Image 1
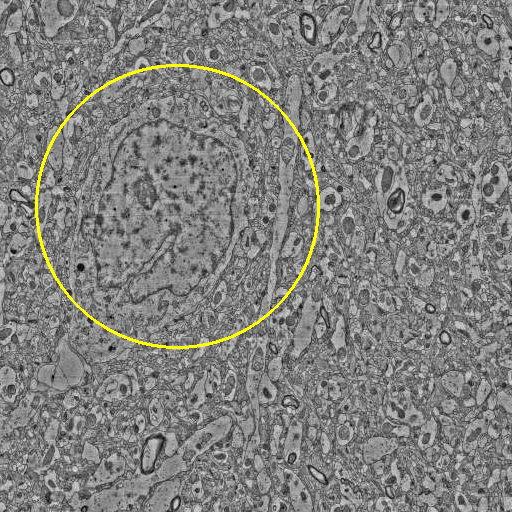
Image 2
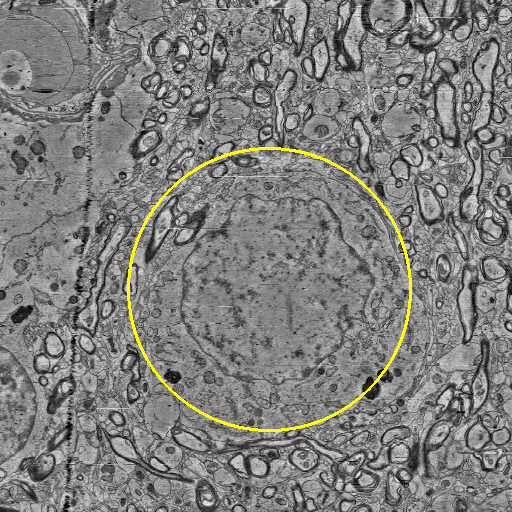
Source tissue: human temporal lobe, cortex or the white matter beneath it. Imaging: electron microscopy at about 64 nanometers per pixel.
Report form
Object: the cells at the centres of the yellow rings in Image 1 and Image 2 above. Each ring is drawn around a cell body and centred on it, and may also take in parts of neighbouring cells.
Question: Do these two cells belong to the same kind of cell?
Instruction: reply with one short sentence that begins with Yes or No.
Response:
Yes, both belong to the same kind of cell.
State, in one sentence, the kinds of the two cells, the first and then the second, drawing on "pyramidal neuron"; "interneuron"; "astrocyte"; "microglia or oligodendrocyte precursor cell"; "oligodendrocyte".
Each of the ringed cells, first and second, is an interneuron.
